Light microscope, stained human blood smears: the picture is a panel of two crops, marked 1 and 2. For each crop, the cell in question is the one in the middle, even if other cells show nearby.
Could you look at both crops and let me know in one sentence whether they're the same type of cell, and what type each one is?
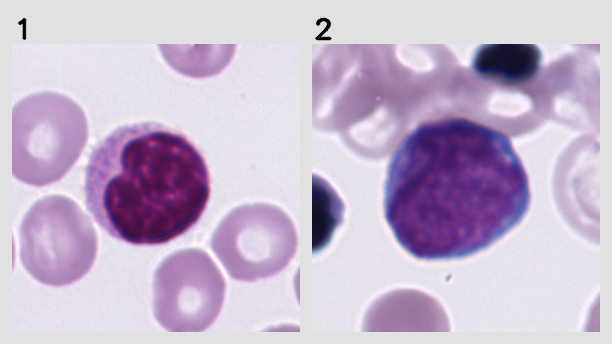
No, just to correct that: crop 1 shows a large granular lymphocyte, crop 2 shows a myeloblast.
